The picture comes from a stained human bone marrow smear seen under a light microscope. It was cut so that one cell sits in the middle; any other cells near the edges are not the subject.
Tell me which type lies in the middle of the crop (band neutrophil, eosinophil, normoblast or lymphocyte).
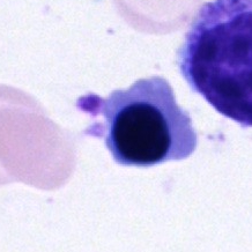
normoblast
